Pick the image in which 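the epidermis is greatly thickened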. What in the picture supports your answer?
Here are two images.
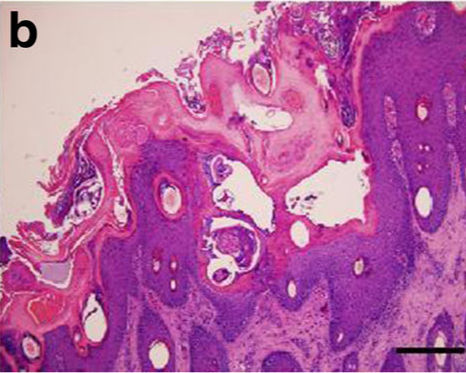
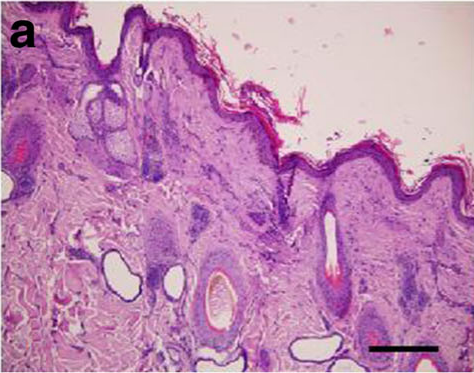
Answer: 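The first image. First image: the purple epidermis is very thick, with broad downgrowths into the dermis. Second image: the epidermis is a thin purple band along the surface.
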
